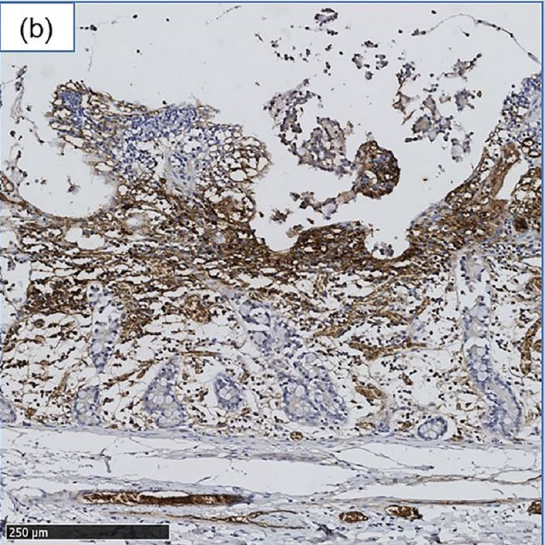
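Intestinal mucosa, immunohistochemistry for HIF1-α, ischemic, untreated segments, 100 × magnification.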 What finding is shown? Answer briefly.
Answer: Complete absence of the epithelial layer.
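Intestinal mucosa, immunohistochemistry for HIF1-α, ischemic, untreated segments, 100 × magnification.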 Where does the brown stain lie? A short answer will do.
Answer: Lamina propria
